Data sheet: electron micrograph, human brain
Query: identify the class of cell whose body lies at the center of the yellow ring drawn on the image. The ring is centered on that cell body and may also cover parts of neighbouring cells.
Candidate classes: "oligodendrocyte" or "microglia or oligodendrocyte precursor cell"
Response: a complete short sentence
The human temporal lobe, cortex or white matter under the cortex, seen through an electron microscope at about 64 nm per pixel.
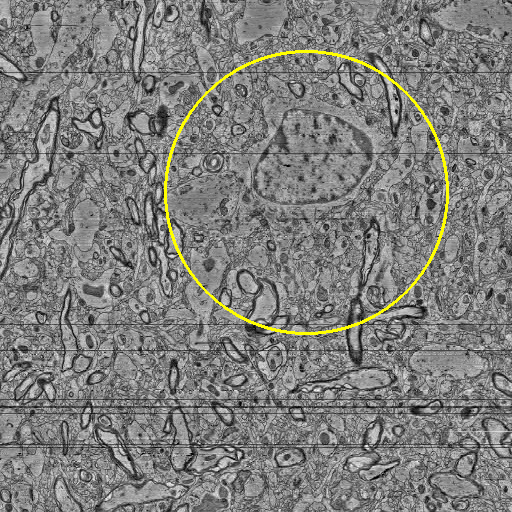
At the center of the ring lies a microglial cell or oligodendrocyte precursor cell.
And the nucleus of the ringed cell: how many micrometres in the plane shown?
In this plane, the nucleus is roughly 8 by 7 micrometres.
